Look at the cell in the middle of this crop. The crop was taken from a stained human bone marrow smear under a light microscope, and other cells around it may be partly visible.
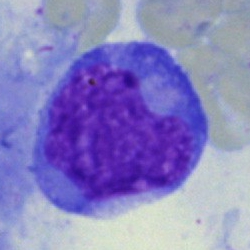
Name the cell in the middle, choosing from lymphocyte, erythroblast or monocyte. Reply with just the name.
monocyte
